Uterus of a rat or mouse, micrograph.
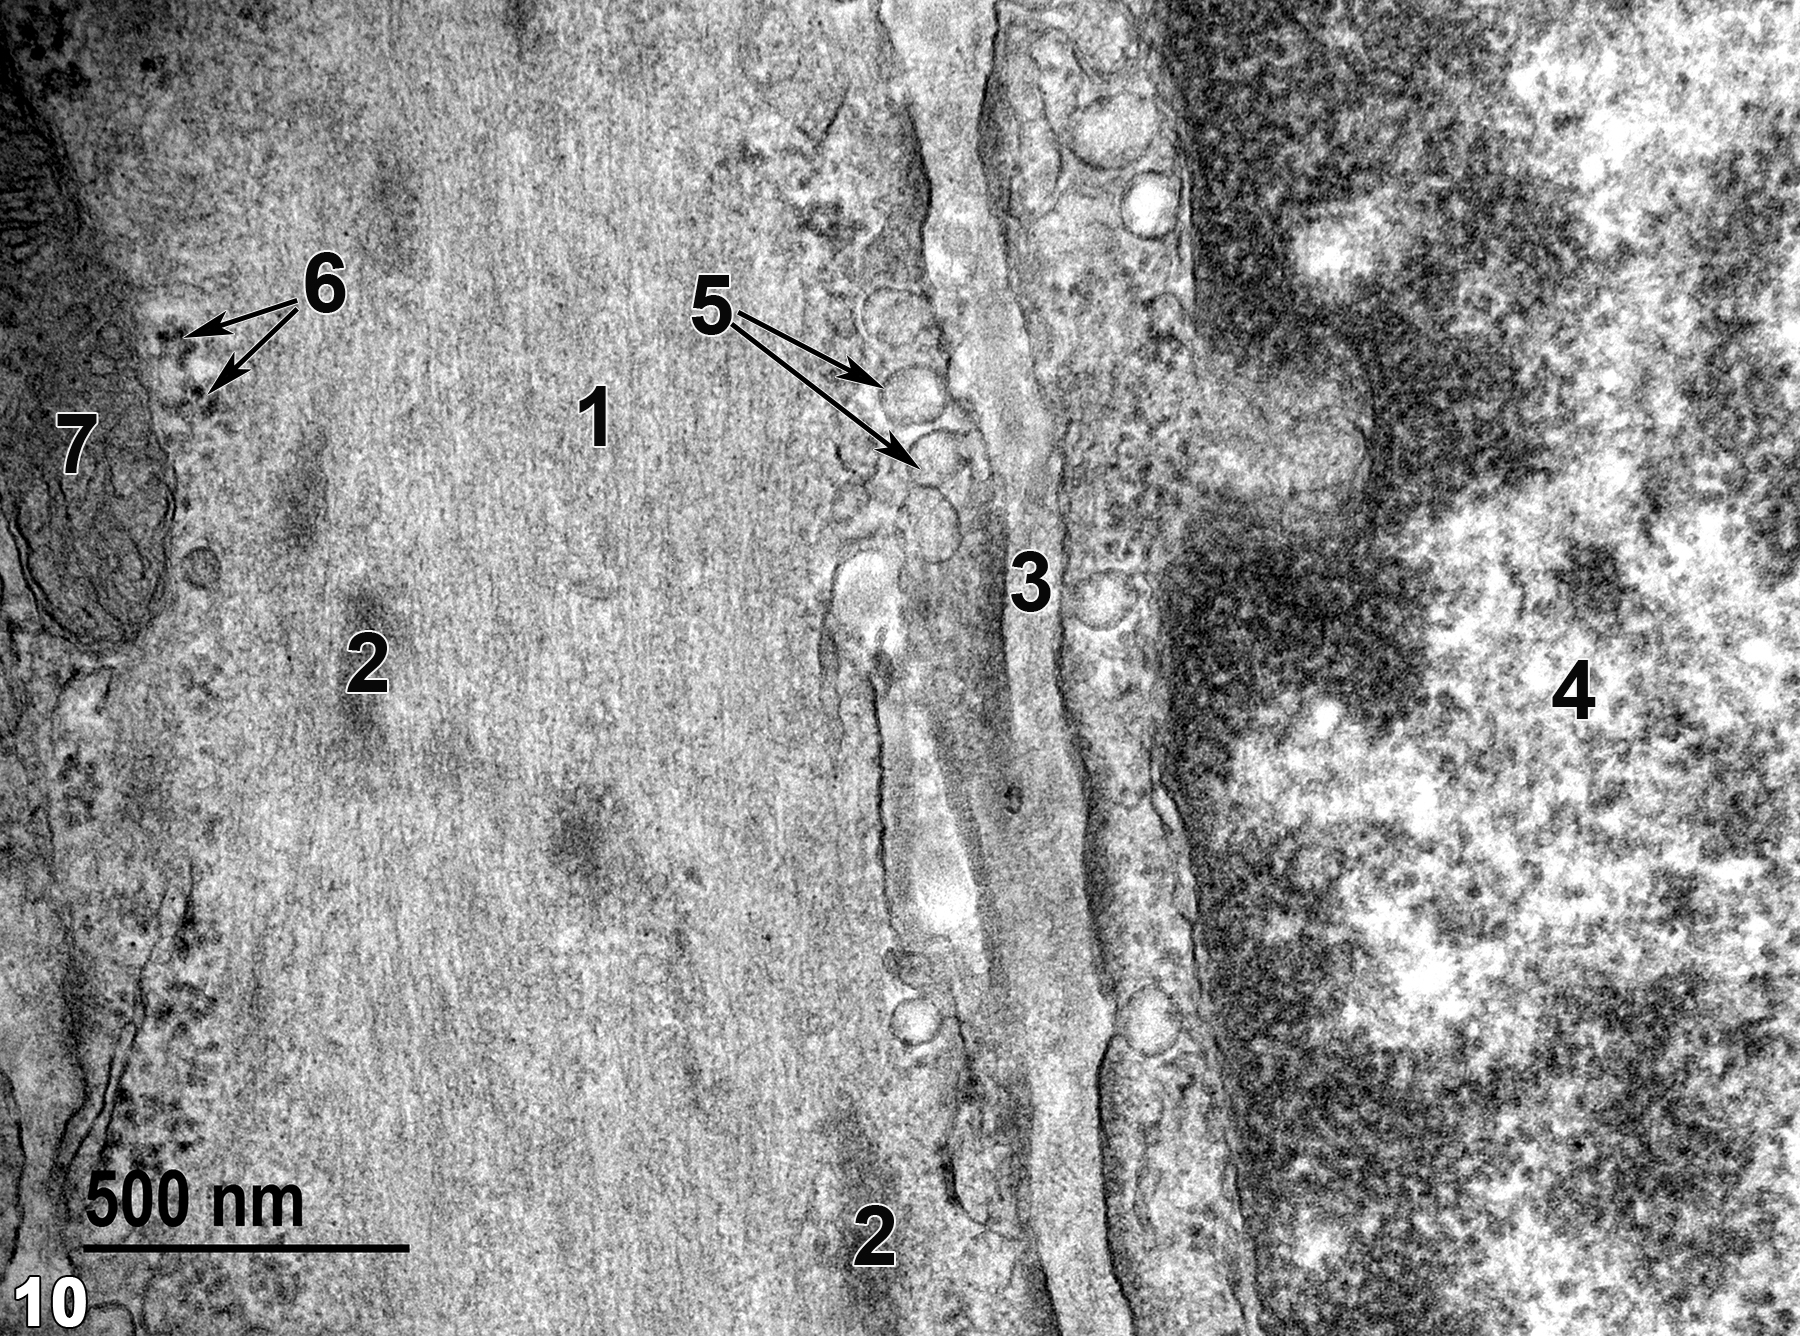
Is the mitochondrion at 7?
Yes.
